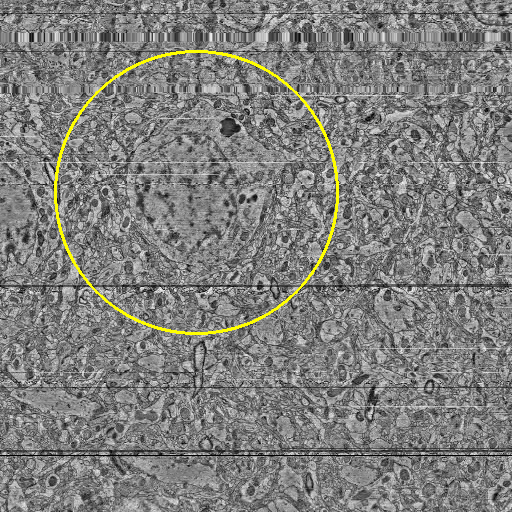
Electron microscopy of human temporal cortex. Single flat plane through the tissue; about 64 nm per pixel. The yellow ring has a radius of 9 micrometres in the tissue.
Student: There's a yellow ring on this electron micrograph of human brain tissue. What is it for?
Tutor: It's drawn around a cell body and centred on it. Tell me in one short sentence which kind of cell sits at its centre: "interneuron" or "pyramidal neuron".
The cell at the centre of the ring is an interneuron.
